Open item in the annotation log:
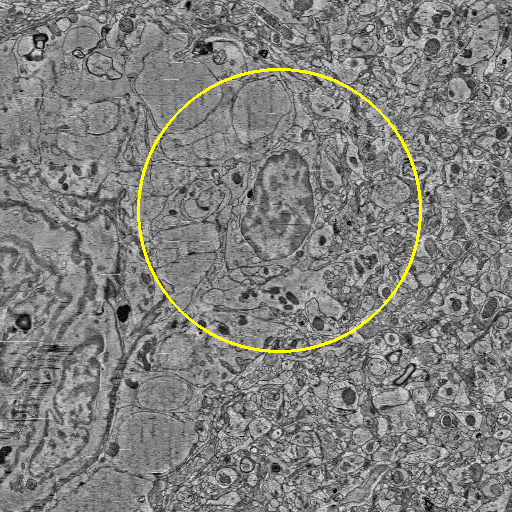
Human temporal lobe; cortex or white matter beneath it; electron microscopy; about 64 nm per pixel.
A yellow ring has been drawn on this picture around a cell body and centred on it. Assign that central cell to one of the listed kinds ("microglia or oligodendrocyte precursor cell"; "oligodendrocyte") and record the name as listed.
microglia or oligodendrocyte precursor cell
